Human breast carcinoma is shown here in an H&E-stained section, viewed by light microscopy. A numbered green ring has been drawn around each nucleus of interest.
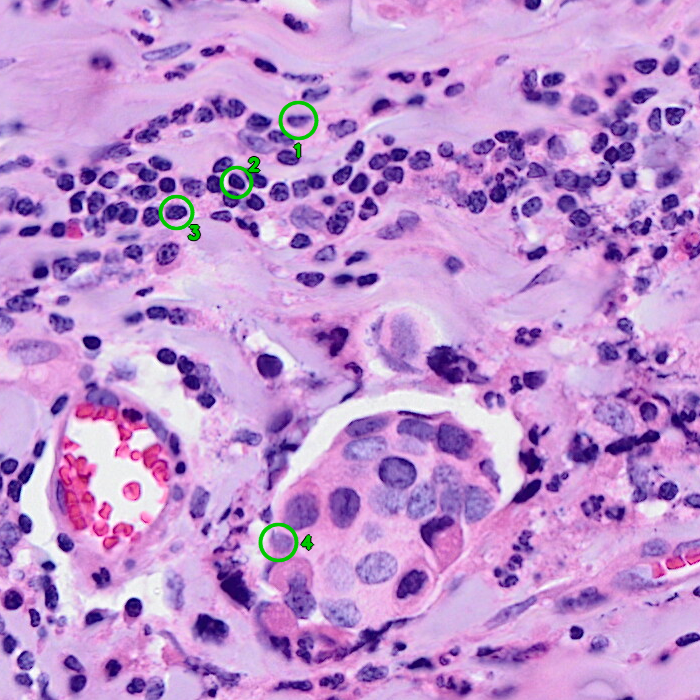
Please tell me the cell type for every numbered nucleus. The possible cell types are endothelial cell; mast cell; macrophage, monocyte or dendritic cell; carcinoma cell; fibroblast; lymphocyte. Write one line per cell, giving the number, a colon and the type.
1: lymphocyte
2: lymphocyte
3: lymphocyte
4: carcinoma cell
